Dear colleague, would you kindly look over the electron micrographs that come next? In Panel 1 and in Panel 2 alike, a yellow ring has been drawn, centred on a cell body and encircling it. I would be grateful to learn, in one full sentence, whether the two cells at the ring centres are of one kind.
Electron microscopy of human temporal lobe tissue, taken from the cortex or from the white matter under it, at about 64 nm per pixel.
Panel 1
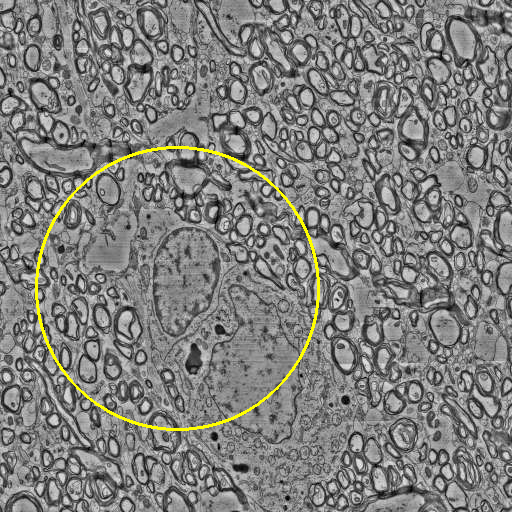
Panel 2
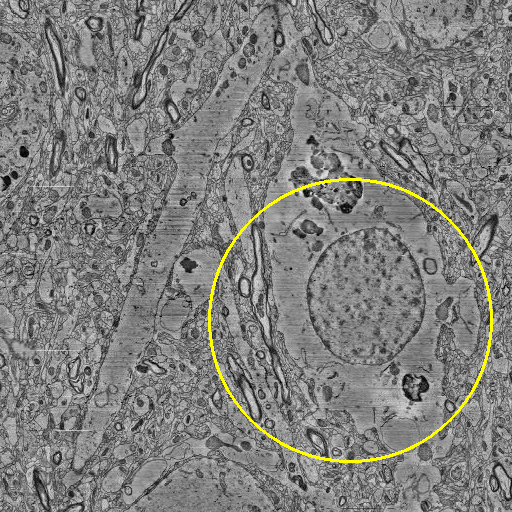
No, the cells in the middle of the rings in the two panels are of two kinds.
